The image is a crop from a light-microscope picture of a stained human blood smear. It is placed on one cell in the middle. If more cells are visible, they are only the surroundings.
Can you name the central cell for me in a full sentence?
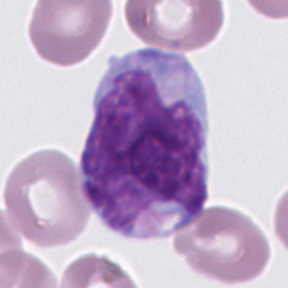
The cell of interest, in the center, is an atypical promyelocyte.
